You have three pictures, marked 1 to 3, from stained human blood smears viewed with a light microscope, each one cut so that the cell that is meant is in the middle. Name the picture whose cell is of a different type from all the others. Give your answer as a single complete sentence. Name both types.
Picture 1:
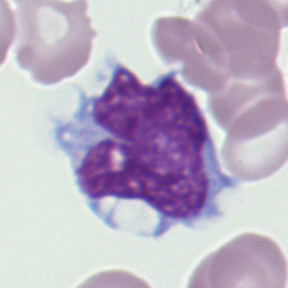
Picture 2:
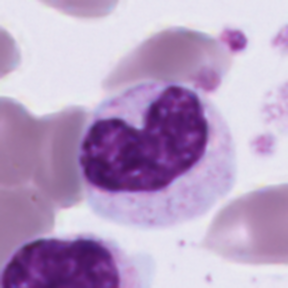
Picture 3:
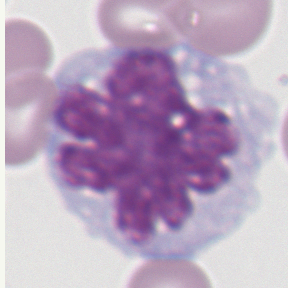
All pictures except 2 show monocytes; picture 2 shows a metamyelocyte.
